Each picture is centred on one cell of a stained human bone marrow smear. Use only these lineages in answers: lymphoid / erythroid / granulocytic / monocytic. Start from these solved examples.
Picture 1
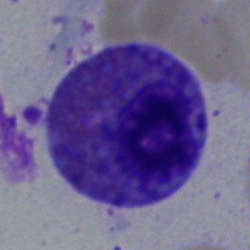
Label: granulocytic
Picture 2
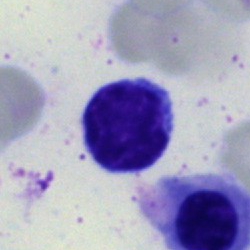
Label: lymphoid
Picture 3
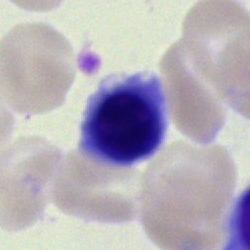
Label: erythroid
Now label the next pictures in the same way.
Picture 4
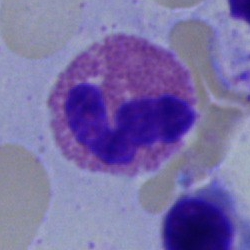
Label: granulocytic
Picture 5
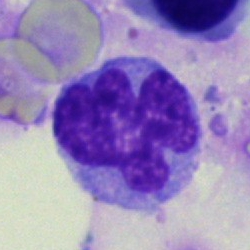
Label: monocytic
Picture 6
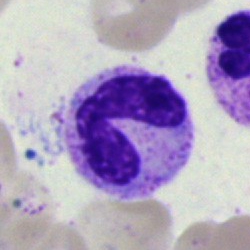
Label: granulocytic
